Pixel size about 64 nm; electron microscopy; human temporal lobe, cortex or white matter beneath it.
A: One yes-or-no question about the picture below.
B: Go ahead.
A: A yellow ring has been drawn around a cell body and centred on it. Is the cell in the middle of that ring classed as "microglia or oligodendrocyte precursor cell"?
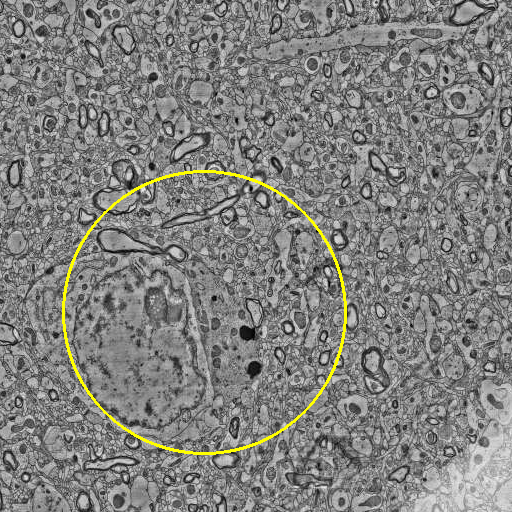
No, it is classed as another kind.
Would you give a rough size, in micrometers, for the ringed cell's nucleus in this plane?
Roughly 10 micrometers across, in this plane.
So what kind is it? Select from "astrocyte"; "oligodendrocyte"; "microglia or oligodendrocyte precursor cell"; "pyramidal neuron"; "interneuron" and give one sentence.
Instead, the ringed cell here is an oligodendrocyte.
